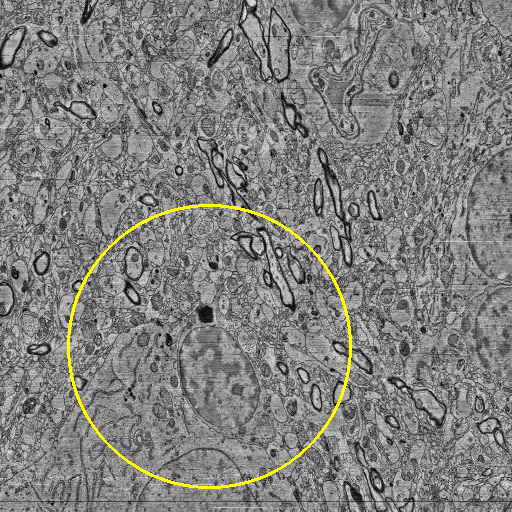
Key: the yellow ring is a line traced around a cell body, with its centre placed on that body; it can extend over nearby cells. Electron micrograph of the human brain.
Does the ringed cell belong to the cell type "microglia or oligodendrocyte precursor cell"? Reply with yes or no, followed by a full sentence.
No, the cell at the centre of the yellow ring in the picture is of another type.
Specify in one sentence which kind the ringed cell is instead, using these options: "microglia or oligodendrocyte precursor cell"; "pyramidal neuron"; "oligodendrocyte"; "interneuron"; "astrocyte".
The cell circled by the yellow ring is an oligodendrocyte.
